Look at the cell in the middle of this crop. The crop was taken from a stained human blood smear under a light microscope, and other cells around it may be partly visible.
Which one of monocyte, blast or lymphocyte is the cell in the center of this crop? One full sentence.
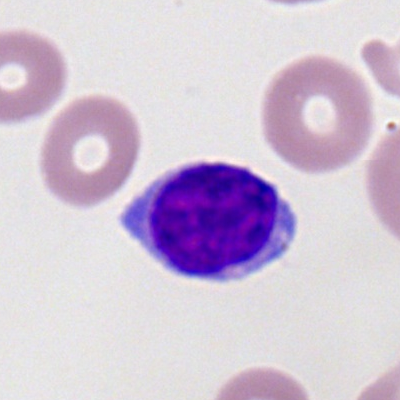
Present in the middle of the crop is a lymphocyte.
